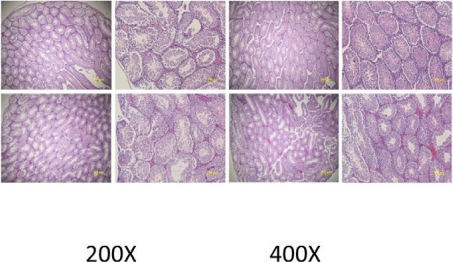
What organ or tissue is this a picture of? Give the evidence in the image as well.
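Closely packed round and oval tubule cross-sections fill the sections. Each tubule is lined by several layers of purple-stained cells.
Answer: testis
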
